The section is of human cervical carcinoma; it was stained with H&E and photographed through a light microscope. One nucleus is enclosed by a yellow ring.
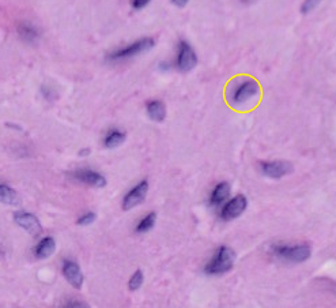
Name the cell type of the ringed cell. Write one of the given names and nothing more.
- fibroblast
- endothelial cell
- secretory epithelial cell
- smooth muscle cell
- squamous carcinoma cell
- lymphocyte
fibroblast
